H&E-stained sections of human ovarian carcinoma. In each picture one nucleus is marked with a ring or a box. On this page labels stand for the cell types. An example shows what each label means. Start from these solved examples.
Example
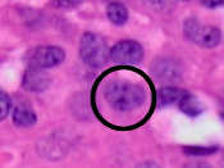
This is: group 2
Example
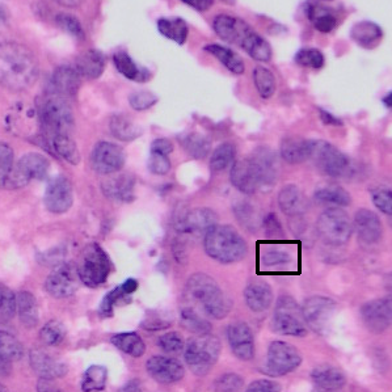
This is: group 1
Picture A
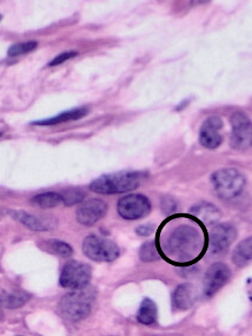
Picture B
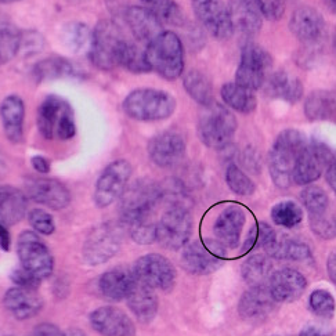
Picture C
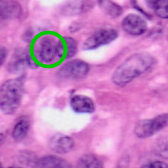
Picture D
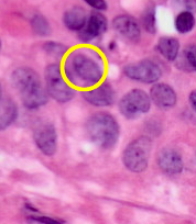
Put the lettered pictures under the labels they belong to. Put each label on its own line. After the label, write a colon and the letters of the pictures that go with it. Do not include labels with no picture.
group 2: A, C, D
group 1: B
